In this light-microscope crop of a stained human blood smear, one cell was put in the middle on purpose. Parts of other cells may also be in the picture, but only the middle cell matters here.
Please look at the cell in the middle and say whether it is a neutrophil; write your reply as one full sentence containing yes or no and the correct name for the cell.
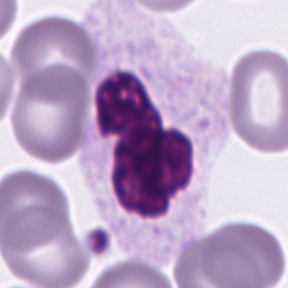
Yes, the cell occupying the middle of the crop is a neutrophil.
